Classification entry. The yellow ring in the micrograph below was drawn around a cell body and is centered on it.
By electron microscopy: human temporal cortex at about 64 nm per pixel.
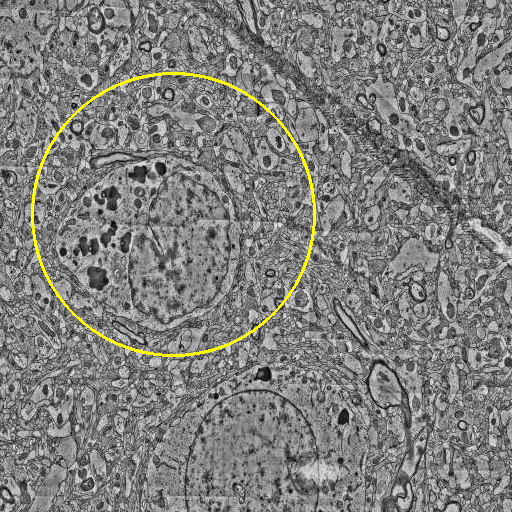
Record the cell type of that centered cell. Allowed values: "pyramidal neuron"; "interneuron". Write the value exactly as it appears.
interneuron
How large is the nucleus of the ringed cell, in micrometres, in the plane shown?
The nucleus works out at approximately 9 by 6 micrometres in this plane.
